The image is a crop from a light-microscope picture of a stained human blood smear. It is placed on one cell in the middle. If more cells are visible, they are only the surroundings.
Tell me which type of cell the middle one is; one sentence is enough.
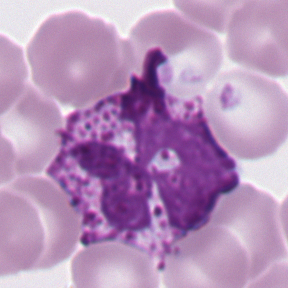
The cell that lies at the centre of the crop is a basophil.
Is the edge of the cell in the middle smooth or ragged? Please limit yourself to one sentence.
Seen at its edge, the cell is not smooth but ragged or projecting.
